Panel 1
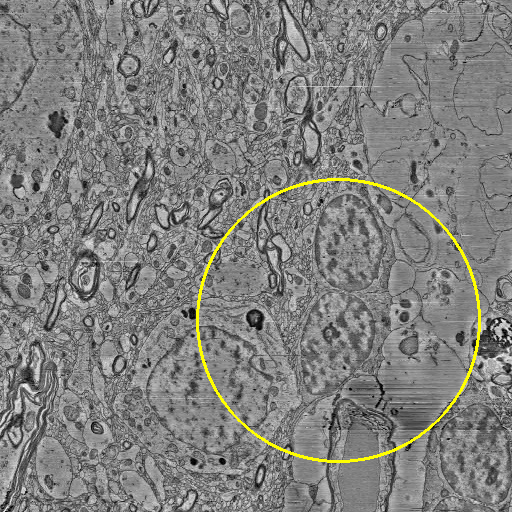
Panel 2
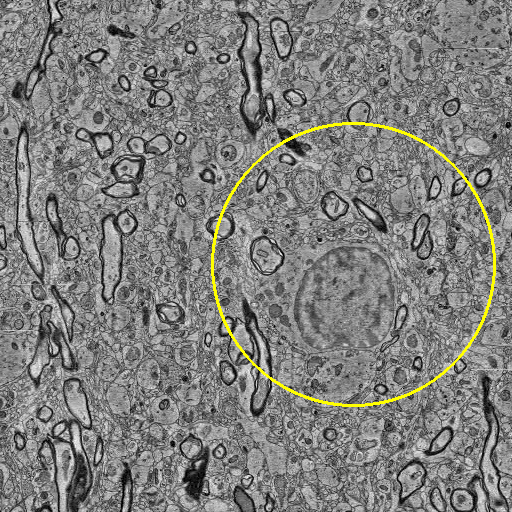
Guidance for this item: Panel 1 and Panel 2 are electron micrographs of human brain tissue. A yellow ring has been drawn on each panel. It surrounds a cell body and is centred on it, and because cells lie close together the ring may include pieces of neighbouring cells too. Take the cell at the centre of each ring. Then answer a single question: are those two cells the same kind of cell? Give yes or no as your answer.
yes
